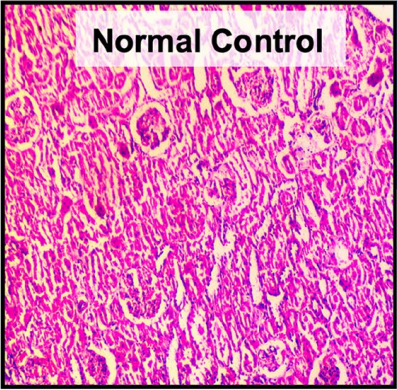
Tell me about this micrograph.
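At low power the field is filled with closely packed renal tubules whose cells have pink cytoplasm and small purple nuclei. Scattered among them are several round glomeruli, each a compact tuft of purple-dotted tissue set within a narrow clear space.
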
